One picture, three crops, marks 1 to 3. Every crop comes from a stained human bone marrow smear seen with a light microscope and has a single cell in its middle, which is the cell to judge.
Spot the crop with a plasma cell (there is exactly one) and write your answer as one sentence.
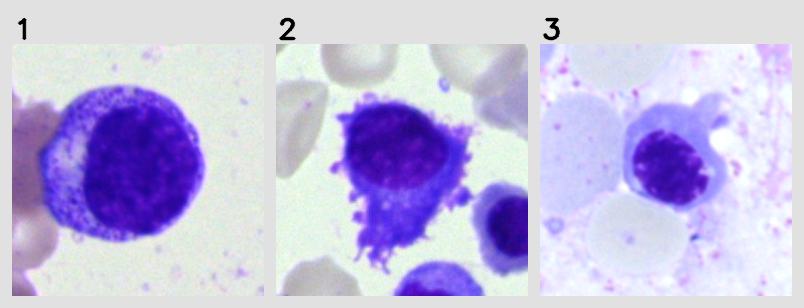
Among the crops given, only crop 2 shows a plasma cell.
